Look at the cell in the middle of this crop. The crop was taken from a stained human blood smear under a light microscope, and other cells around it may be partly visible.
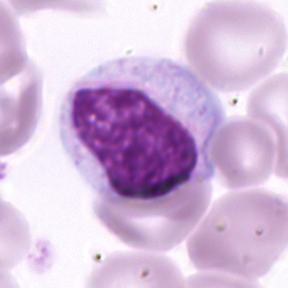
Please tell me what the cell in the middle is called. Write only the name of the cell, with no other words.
metamyelocyte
